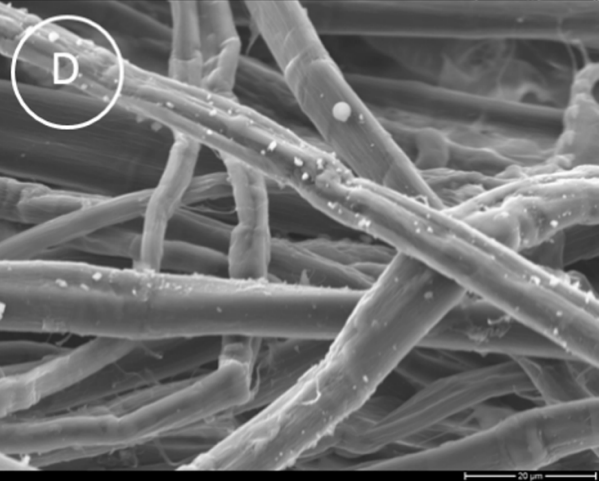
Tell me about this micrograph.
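This scanning electron micrograph shows plant fibers at high magnification, lying crossed over one another. The fibers are long cylindrical or ribbon-like cells of clearly different widths, some slender and others broad and flattened. Several fibers are bent or kinked along their length. Their surfaces are mostly smooth, with fine longitudinal creases and scattered small bright granules. Deeper fibers lie out of focus in the background beneath the upper ones.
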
